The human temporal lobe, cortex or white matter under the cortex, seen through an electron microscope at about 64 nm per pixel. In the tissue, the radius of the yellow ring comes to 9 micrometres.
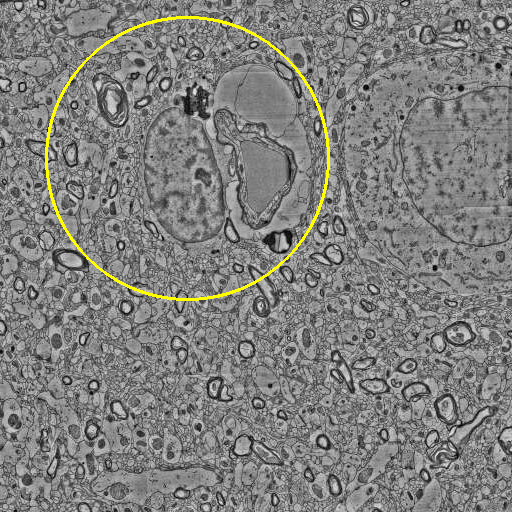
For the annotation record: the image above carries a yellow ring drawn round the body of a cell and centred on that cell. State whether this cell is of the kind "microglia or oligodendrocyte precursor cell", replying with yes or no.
No, this cell is of another kind.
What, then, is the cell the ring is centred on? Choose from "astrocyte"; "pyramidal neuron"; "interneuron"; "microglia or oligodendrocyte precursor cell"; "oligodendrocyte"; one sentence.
The cell in the ring is an oligodendrocyte instead.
